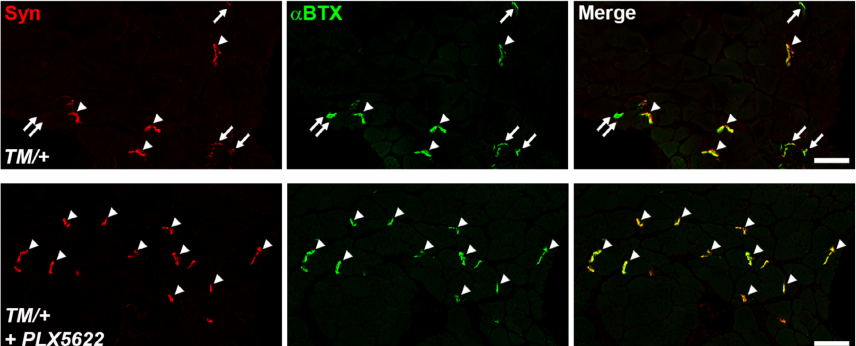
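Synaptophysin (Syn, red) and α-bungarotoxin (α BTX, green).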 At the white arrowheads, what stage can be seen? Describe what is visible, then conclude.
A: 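Innervated. At each arrowhead the red and green signals lie on each other and appear yellow in the merged image.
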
